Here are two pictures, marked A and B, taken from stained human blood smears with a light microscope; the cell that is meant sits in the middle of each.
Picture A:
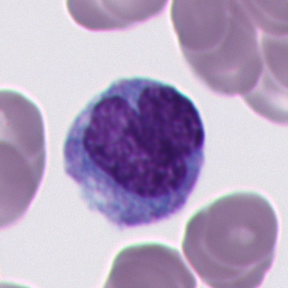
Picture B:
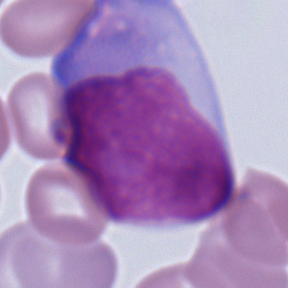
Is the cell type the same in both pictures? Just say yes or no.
no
